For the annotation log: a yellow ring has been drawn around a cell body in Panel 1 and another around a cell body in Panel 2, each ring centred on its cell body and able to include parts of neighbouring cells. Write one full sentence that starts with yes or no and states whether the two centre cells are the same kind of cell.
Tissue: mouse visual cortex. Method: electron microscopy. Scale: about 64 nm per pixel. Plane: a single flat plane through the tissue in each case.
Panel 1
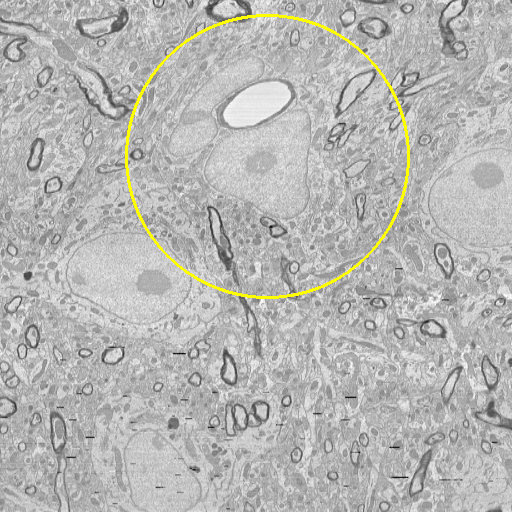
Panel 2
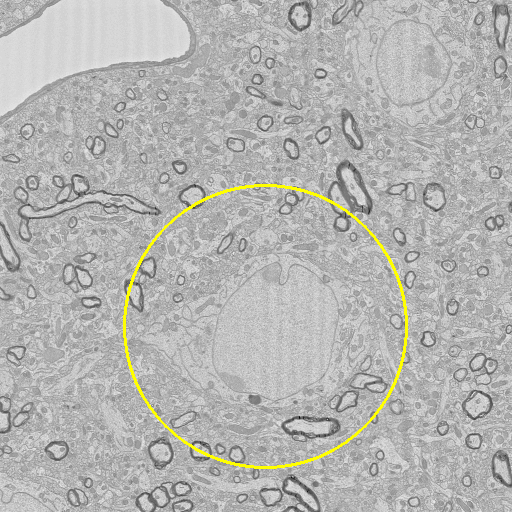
No, the two centre cells are two kinds of cell.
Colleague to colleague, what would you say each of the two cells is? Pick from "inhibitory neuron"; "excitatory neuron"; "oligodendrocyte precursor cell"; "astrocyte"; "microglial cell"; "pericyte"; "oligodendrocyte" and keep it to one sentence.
The cell in the first picture is an astrocyte; the second picture's cell is an excitatory neuron.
